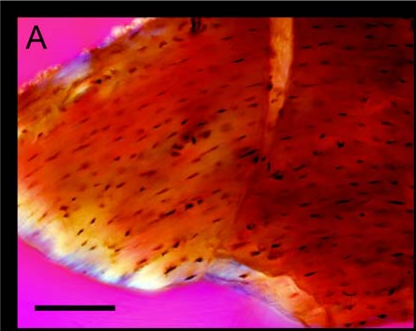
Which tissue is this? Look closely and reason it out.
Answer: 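Parallel-fibered bone. Mineralized matrix with evenly spaced, flattened lacunae oriented in one direction. No large vascular canals or concentric osteon rings are visible.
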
